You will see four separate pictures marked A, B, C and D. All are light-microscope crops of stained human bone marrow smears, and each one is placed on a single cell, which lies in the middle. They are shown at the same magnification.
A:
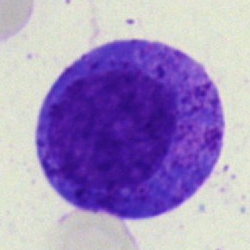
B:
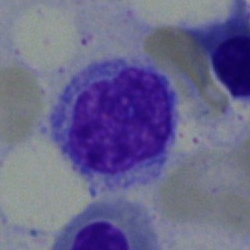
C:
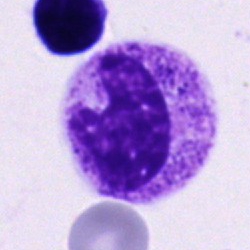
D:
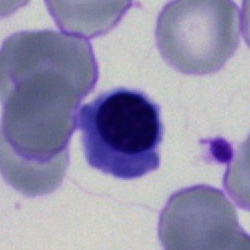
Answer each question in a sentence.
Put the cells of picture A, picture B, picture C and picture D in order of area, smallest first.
Going up, they run D, B, C, A.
